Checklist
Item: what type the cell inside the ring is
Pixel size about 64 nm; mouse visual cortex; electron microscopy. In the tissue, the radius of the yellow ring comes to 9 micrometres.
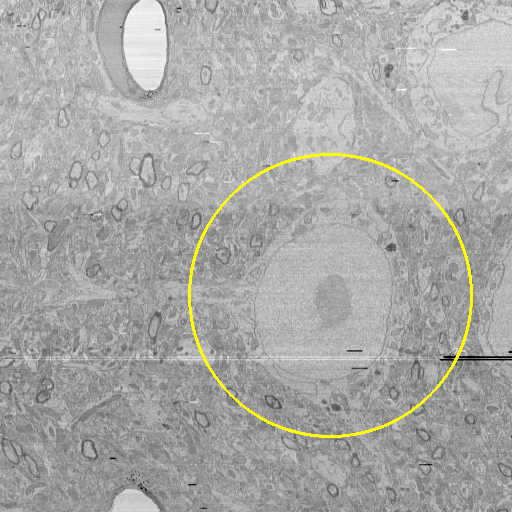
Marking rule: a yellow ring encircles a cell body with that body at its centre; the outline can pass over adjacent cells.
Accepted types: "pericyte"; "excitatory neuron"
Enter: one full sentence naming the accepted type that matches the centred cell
The entry is that an excitatory neuron lies at the centre of the yellow ring.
